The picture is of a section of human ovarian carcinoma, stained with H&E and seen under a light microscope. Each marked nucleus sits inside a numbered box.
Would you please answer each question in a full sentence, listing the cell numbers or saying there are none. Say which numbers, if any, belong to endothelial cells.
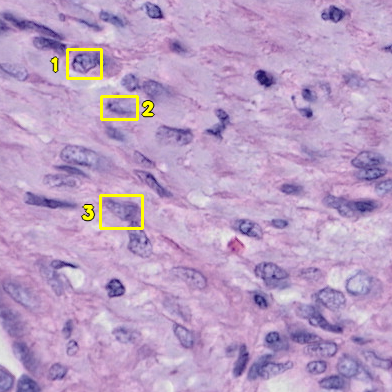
In contrast to the remaining marked cells, cell 1 is an endothelial cell.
